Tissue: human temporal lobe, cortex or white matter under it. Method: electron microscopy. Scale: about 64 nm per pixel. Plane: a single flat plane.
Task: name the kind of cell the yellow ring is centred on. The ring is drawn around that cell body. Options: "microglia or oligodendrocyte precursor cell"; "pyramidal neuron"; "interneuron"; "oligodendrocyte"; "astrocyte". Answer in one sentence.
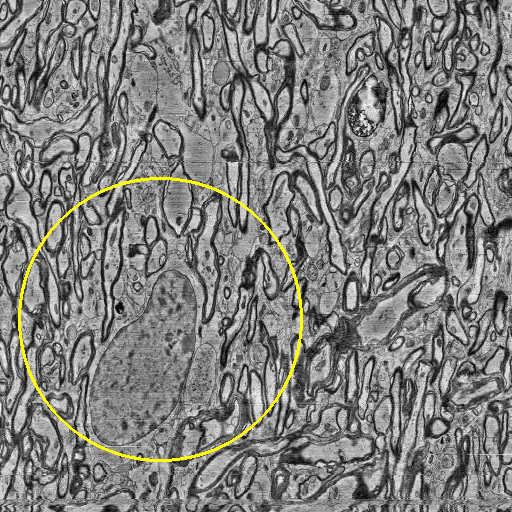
This cell body belongs to a microglial cell or oligodendrocyte precursor cell.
